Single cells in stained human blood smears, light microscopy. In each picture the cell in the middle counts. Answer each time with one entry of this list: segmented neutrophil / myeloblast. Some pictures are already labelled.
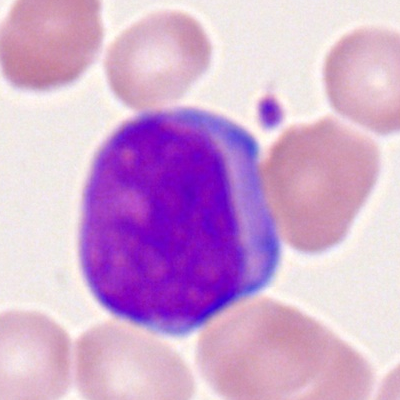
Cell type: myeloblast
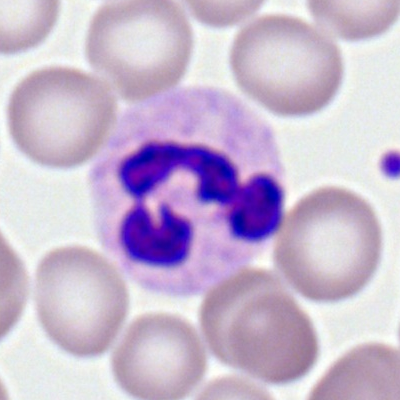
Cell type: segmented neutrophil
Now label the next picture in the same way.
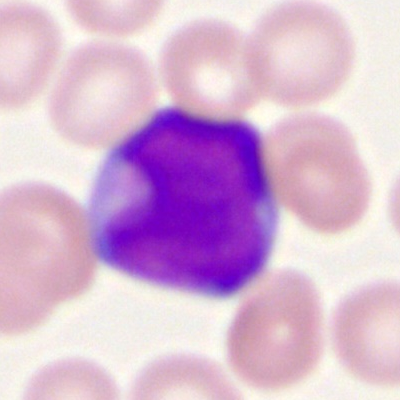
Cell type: myeloblast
